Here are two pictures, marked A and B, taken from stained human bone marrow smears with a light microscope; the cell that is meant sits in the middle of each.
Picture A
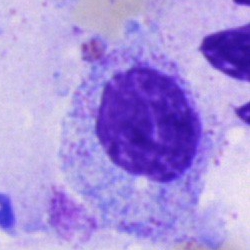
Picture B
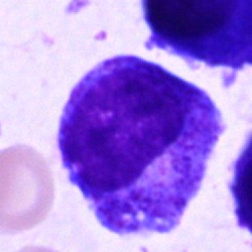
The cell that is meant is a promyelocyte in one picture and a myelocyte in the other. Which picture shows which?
A: myelocyte
B: promyelocyte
